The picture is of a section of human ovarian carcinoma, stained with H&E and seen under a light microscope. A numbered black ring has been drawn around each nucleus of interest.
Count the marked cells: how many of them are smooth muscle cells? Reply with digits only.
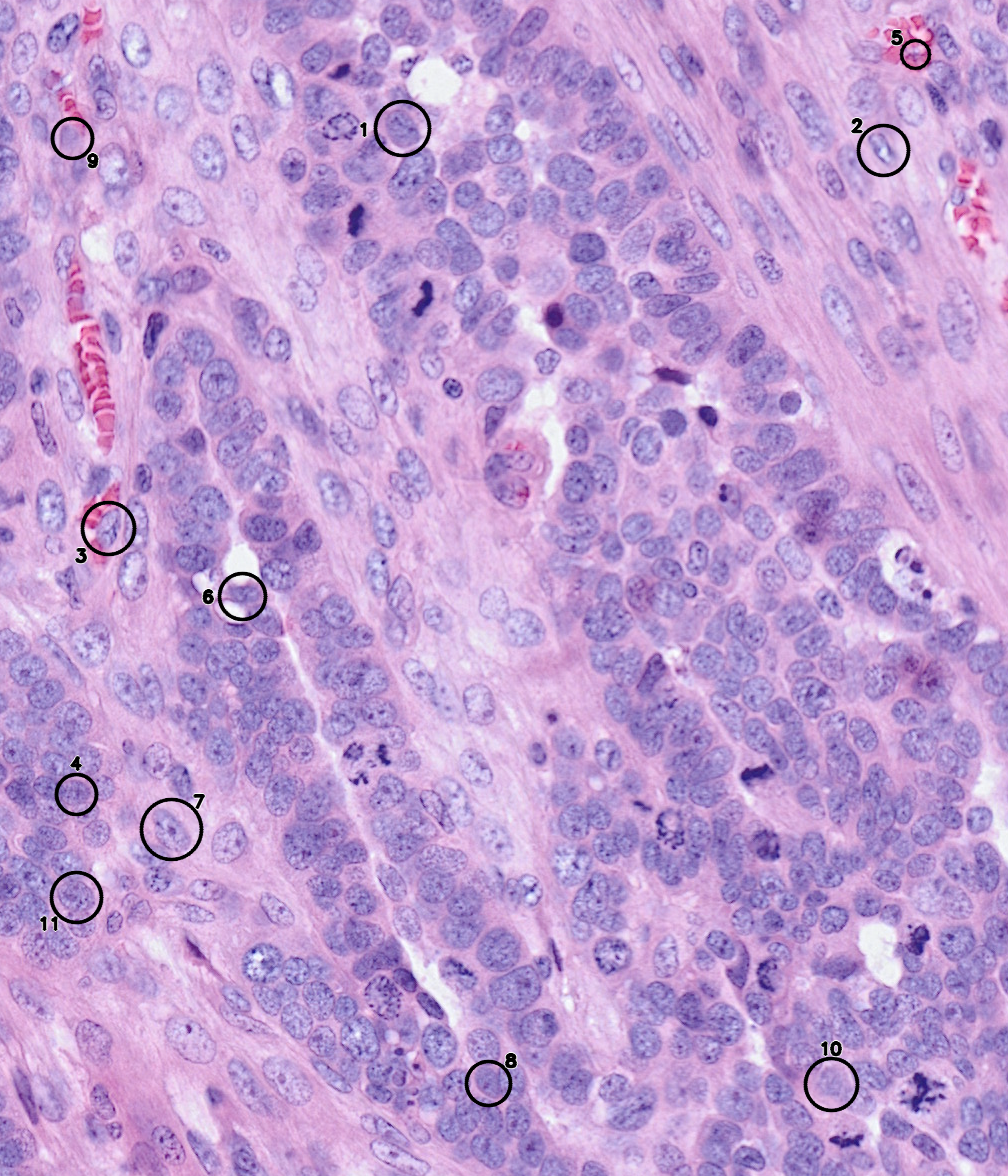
0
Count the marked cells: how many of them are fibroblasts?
2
